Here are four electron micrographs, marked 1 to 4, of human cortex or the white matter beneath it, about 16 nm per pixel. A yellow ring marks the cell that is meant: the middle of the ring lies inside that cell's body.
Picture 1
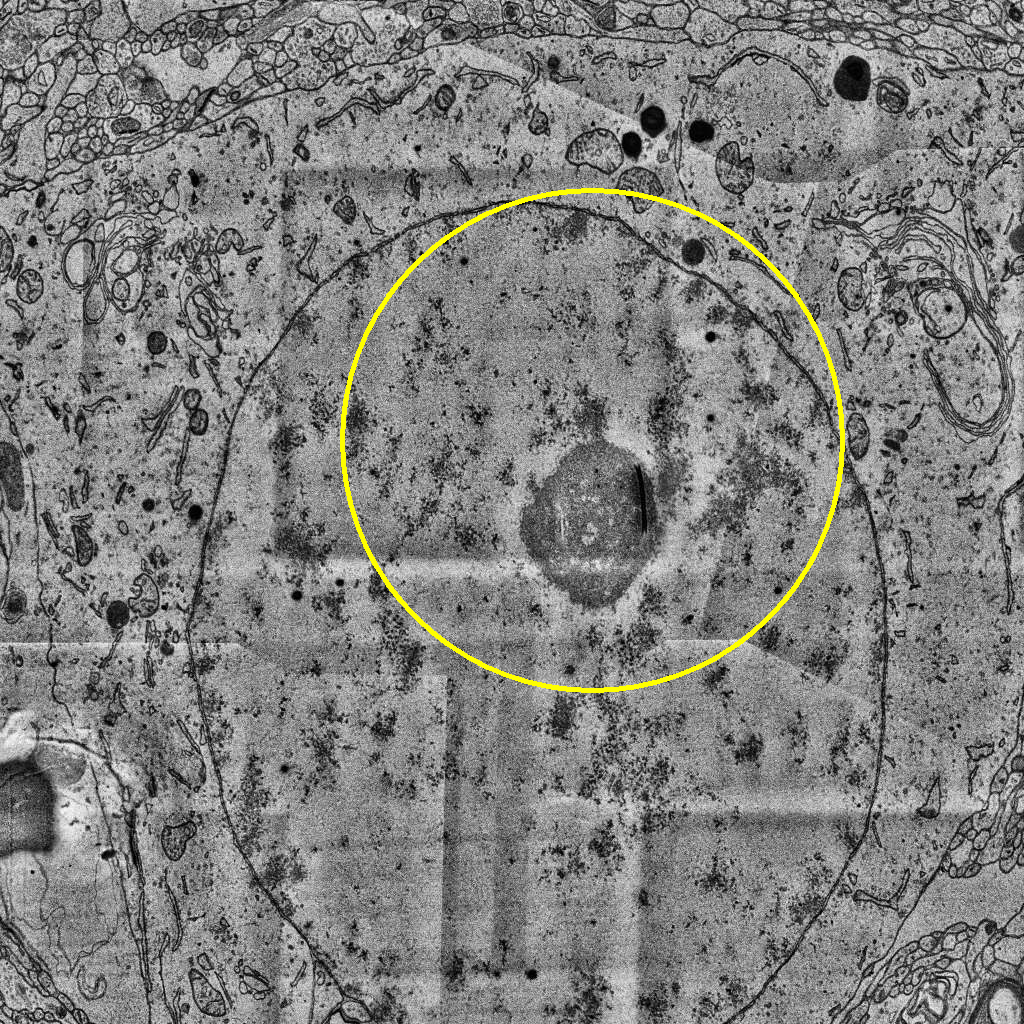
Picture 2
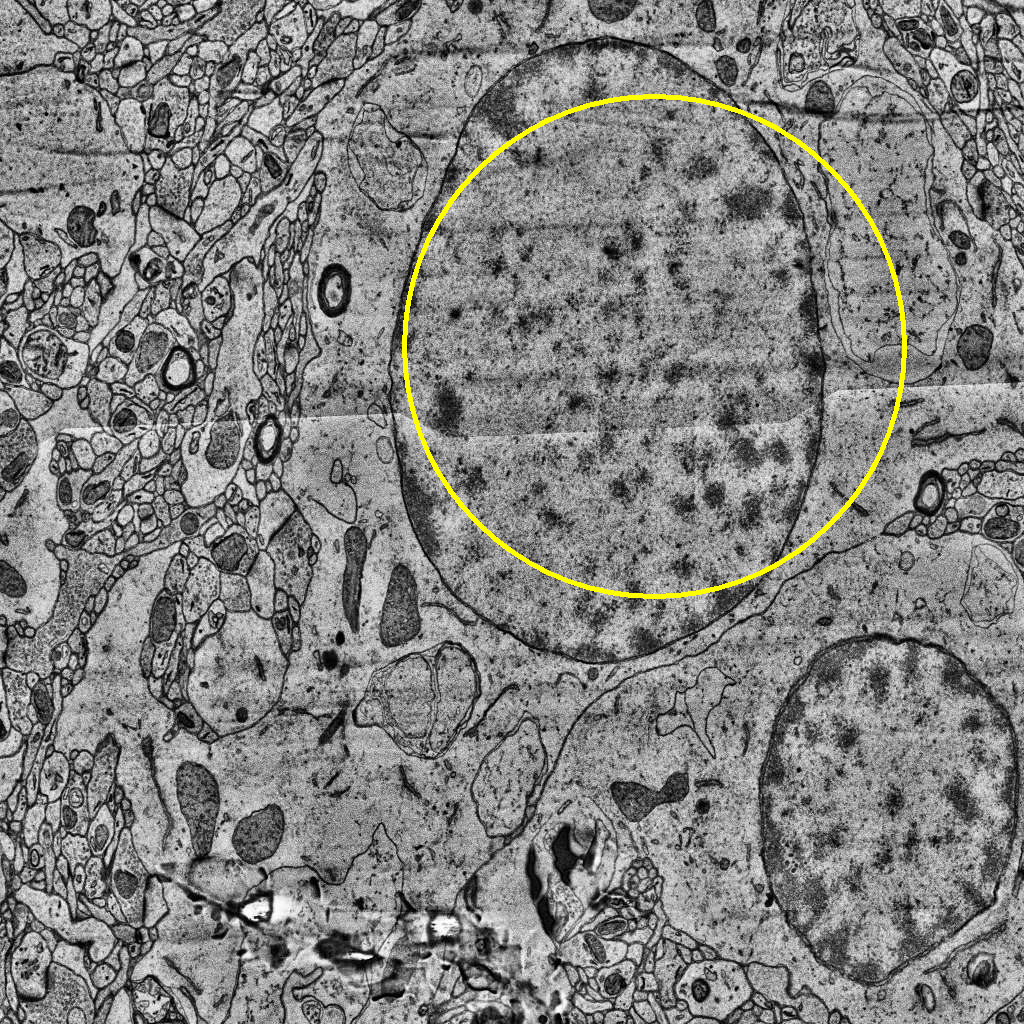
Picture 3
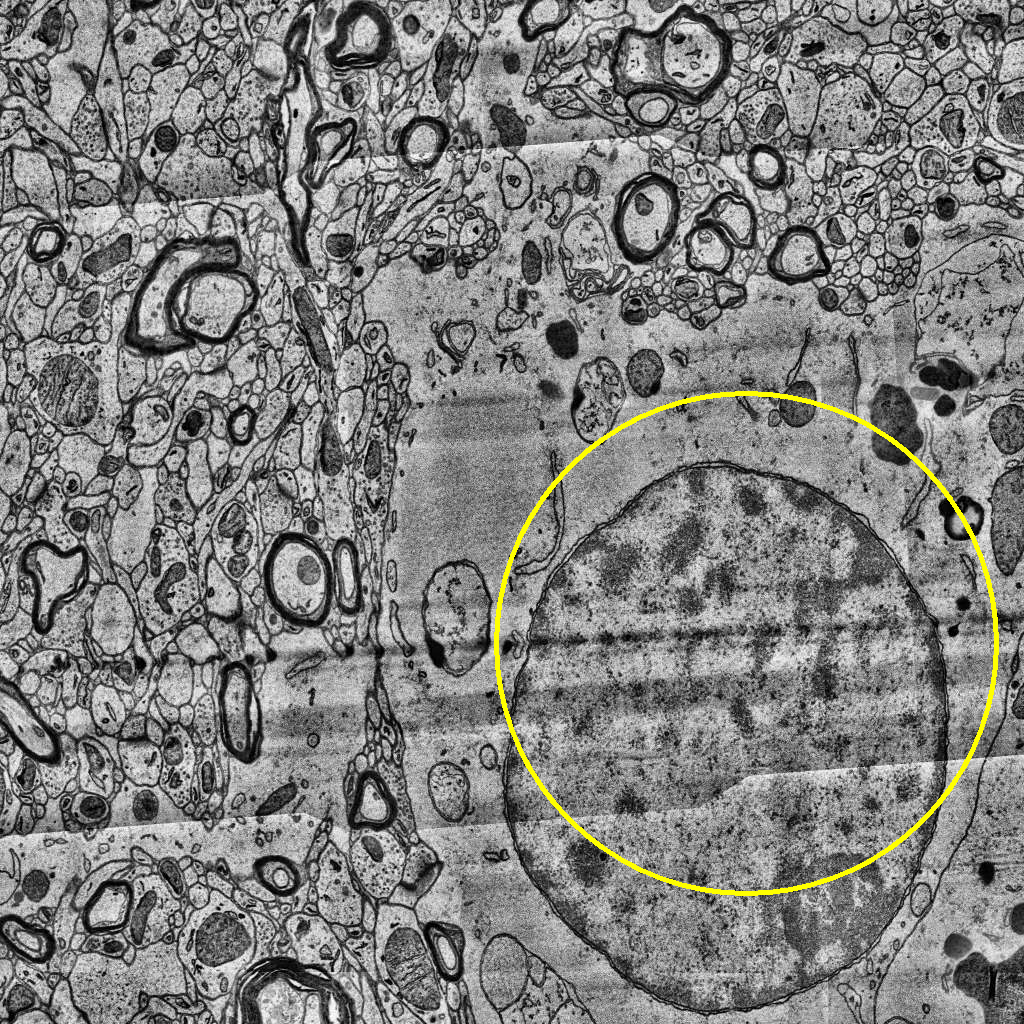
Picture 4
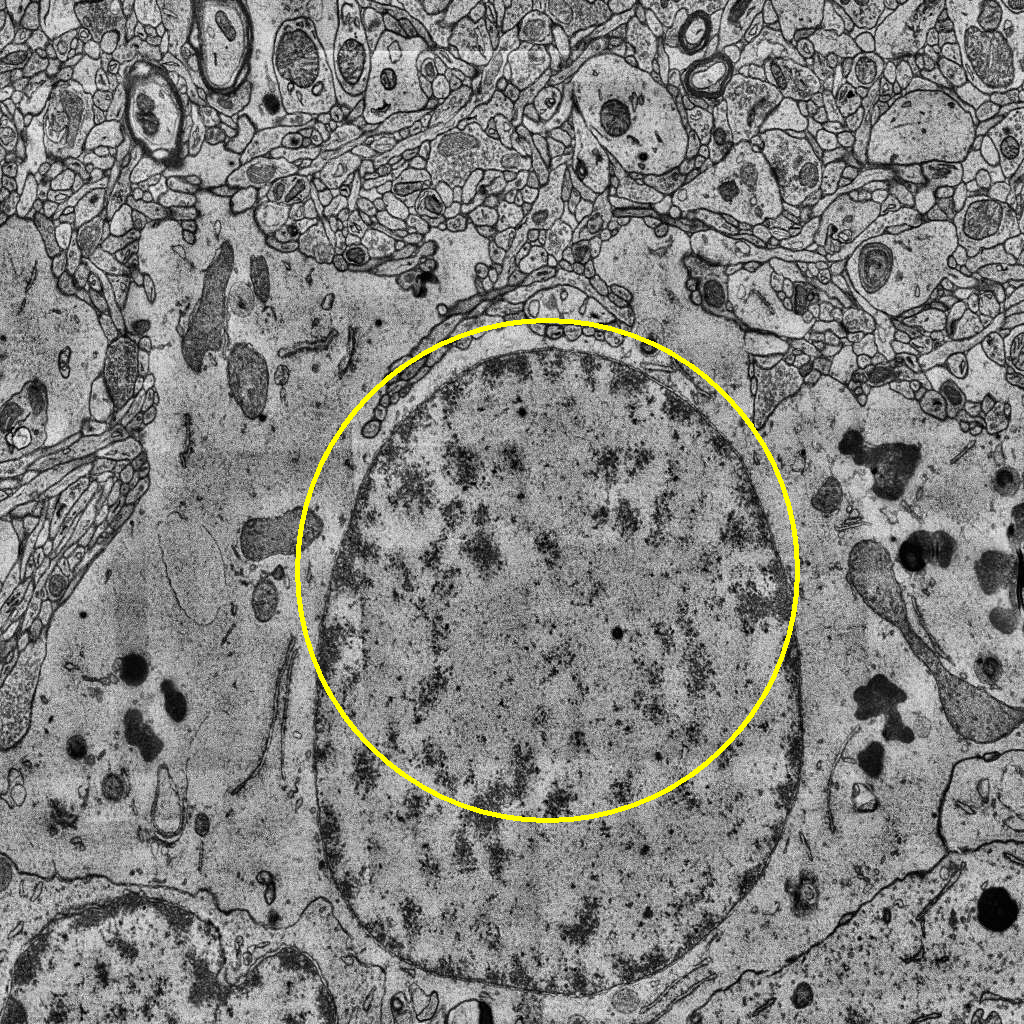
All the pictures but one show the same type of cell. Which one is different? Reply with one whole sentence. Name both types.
The different one is picture 1; it shows a pyramidal neuron, whereas all the others show astrocytes.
